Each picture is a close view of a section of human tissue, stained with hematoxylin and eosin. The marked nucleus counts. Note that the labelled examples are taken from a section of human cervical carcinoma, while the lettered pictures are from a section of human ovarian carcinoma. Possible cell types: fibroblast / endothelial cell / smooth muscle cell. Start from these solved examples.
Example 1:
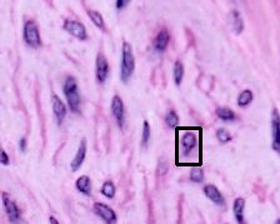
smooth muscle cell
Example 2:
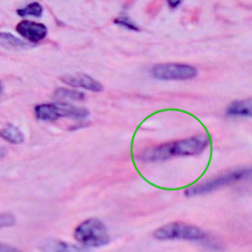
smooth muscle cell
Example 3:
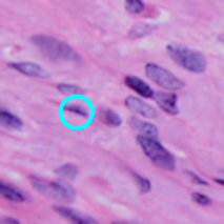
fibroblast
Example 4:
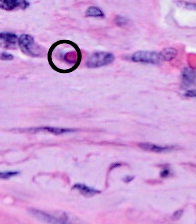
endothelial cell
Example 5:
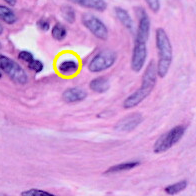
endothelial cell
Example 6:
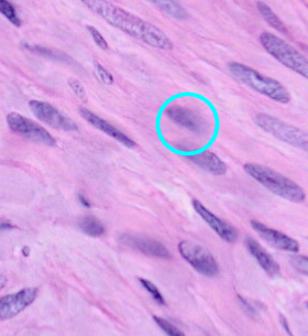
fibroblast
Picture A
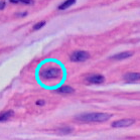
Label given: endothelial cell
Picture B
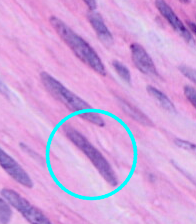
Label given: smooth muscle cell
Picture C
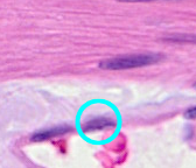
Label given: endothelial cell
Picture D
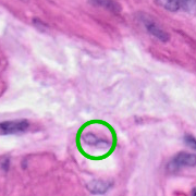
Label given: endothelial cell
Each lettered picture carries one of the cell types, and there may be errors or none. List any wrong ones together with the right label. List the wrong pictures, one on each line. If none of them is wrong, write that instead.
A: smooth muscle cell, not endothelial cell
